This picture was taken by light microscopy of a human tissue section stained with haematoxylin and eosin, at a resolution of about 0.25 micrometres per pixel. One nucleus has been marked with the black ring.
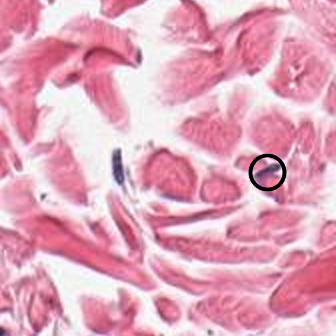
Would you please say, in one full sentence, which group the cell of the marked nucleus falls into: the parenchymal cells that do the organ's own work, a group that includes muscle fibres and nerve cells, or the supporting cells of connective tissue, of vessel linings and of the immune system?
The cell holding the marked nucleus is identified as a supporting cell.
